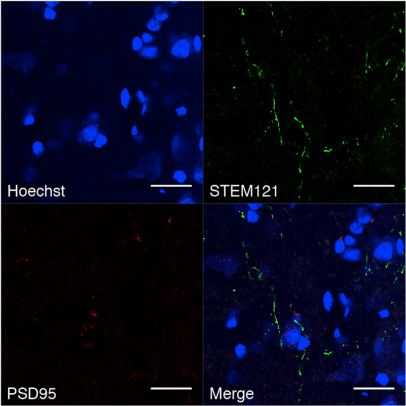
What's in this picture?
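The green fibres are slender and beaded. They run mostly obliquely and are spread more thinly than a dense bundle would be. The blue nuclei are oval and of varied brightness, and they lie scattered in loose groups. Faint red dots are few and small. Most of the field has little red at all, and only an occasional red speck lies near a green fibre or a nucleus in the merged view.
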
